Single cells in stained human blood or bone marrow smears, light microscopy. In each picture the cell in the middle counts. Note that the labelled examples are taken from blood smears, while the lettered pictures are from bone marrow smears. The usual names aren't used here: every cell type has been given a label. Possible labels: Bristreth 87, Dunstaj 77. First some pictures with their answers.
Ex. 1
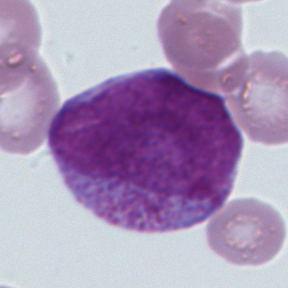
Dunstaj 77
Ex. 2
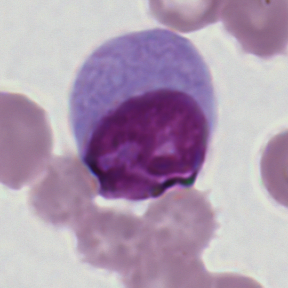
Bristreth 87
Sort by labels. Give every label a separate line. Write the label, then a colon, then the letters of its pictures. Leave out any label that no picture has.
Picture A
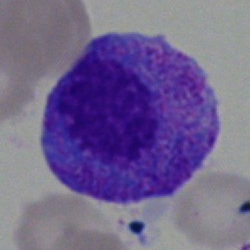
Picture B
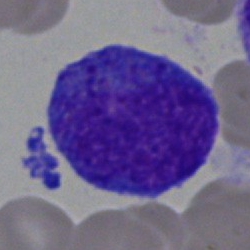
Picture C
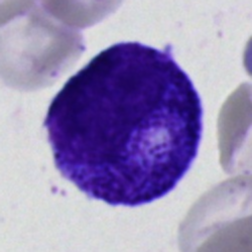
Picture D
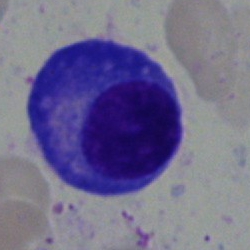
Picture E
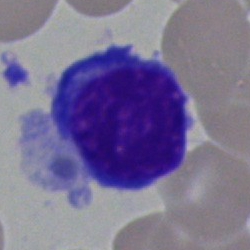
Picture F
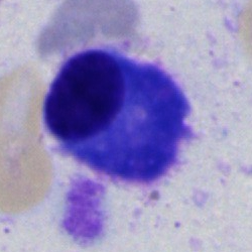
Bristreth 87: D, E, F
Dunstaj 77: A, B, C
